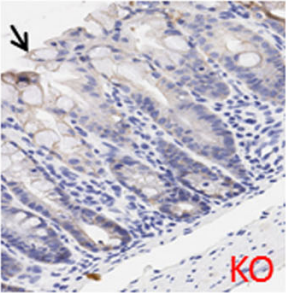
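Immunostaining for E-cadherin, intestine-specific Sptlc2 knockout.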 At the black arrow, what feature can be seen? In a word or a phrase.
The top part of crypts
